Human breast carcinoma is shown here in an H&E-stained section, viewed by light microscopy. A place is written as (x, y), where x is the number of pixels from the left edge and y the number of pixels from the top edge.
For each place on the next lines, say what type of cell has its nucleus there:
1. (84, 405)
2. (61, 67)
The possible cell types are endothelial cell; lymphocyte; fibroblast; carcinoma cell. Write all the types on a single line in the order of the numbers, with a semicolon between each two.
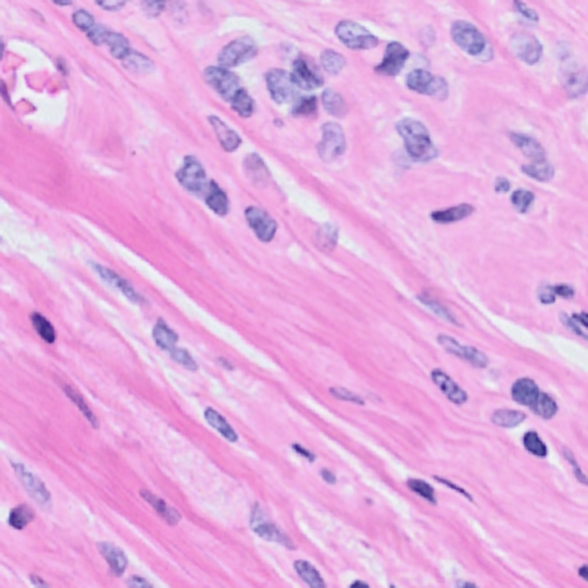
fibroblast; endothelial cell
